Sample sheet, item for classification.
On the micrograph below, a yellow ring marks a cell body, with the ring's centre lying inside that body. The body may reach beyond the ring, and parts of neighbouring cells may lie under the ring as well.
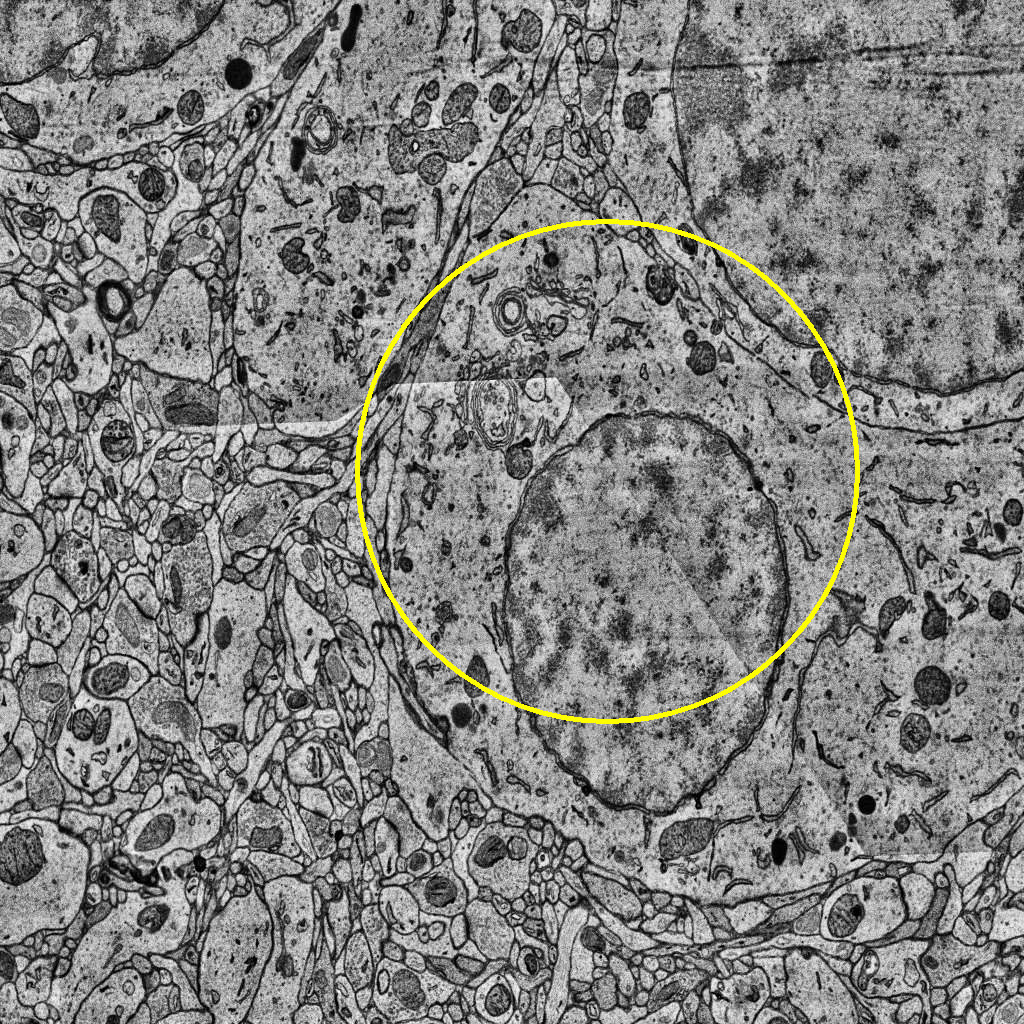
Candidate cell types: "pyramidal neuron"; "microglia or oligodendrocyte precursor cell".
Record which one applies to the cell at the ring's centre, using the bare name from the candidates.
pyramidal neuron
